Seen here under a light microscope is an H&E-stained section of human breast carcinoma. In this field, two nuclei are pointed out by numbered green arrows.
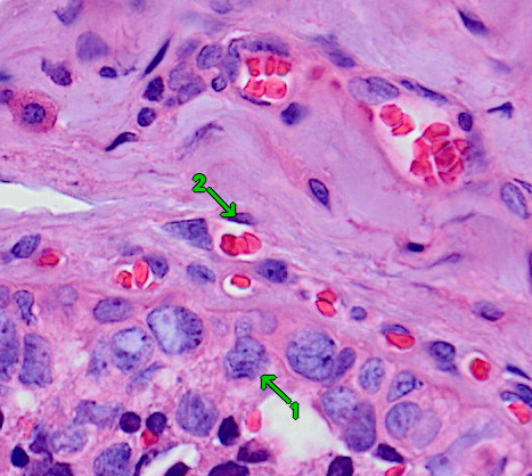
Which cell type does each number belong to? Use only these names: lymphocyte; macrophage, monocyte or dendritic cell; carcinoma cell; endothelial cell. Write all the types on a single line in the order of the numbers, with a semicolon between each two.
carcinoma cell; endothelial cell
